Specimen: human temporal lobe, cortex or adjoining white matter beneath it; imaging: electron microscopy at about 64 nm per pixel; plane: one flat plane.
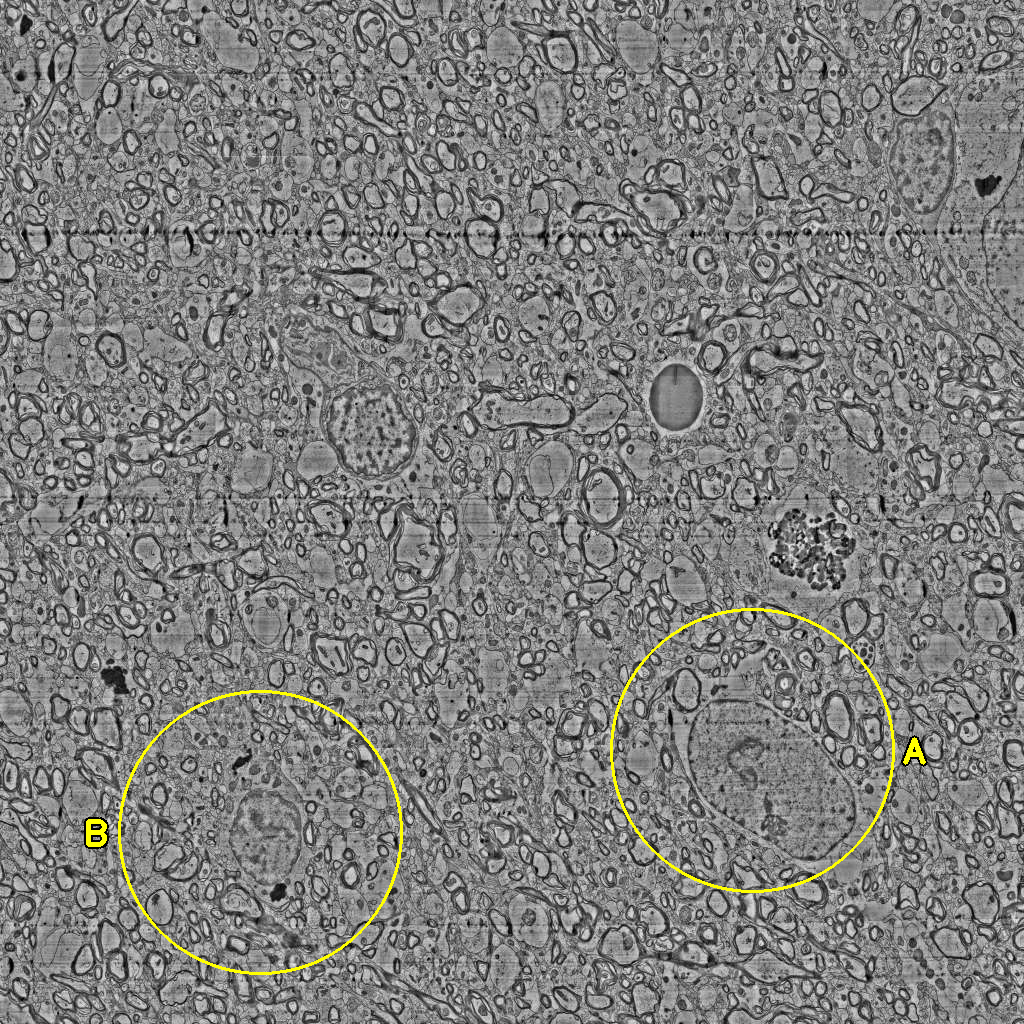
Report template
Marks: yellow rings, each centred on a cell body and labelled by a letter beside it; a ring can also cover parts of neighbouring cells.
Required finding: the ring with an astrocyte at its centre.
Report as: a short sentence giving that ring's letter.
Ring A holds that cell at its centre.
